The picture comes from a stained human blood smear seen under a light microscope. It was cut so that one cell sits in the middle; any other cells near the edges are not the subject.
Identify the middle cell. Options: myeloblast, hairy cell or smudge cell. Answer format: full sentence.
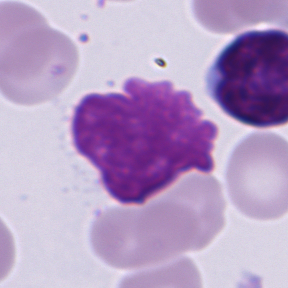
The crop shows a smudge cell in its centre.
